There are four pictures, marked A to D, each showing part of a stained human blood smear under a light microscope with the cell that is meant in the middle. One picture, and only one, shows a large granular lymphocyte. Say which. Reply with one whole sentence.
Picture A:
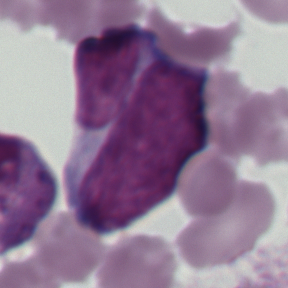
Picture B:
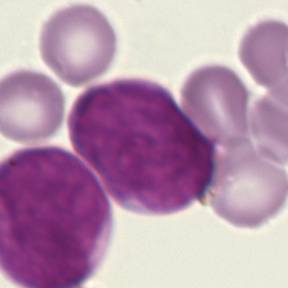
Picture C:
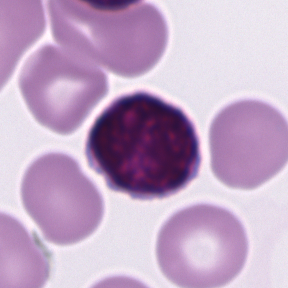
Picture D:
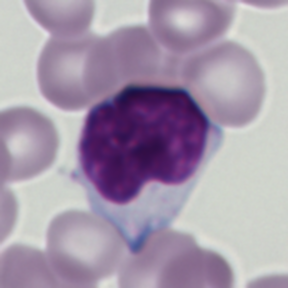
The cell in picture D is the large granular lymphocyte.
